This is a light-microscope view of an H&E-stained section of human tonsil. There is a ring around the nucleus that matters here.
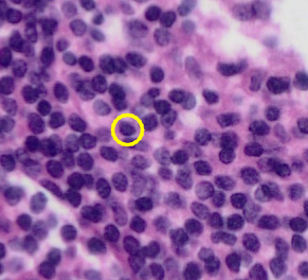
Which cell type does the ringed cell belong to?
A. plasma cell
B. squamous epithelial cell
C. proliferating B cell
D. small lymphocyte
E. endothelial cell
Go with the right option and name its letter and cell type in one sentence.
Option D is the right choice, for the ringed cell is a small lymphocyte.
